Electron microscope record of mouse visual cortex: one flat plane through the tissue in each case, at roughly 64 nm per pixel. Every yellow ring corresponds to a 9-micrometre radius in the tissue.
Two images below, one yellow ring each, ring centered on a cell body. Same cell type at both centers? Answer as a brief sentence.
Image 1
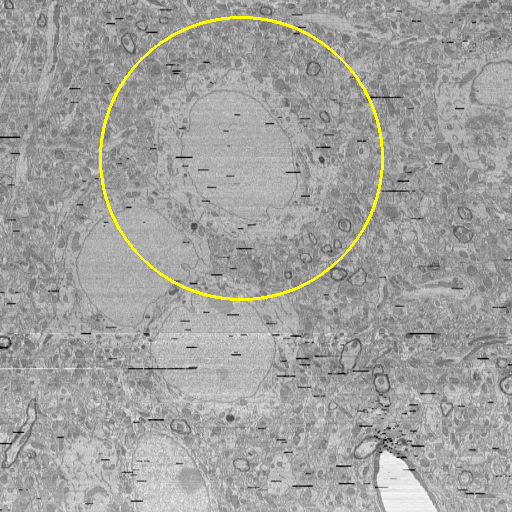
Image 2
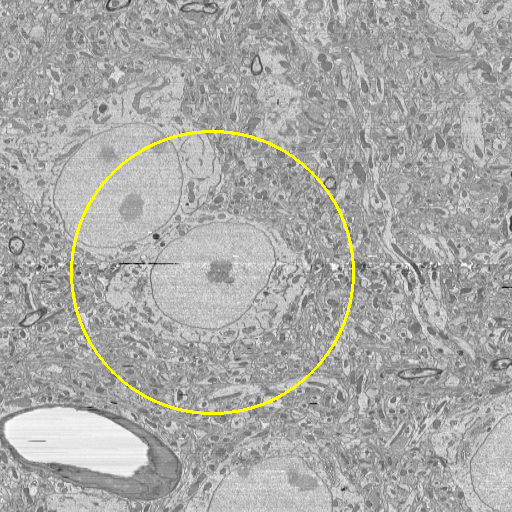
Yes, both cells are of the same type.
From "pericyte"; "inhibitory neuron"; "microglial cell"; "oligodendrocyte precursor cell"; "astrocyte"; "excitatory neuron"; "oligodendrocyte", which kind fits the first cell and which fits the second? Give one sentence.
Each of the two rings surrounds an excitatory neuron.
